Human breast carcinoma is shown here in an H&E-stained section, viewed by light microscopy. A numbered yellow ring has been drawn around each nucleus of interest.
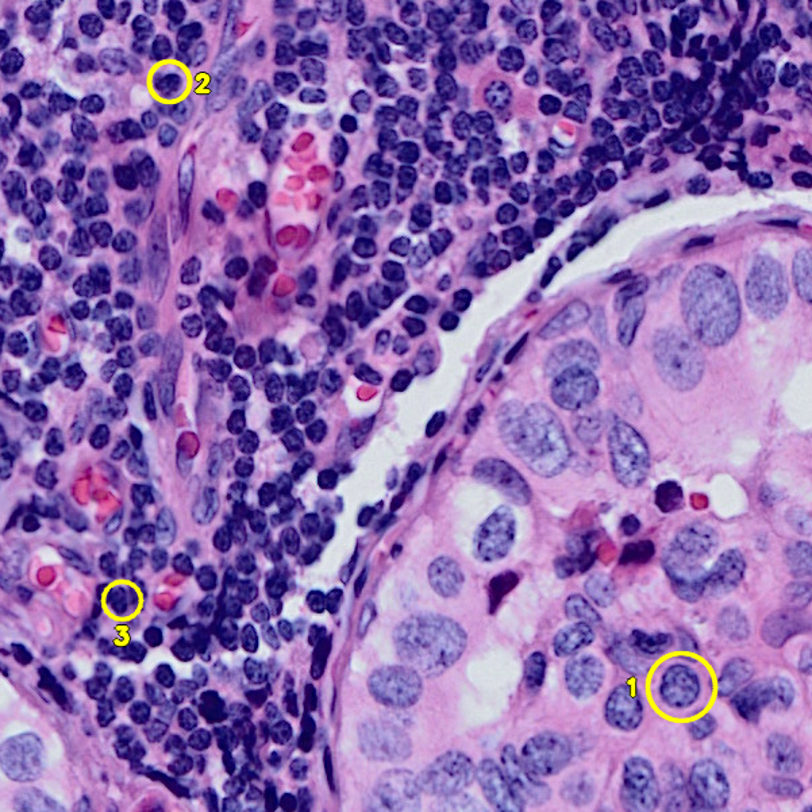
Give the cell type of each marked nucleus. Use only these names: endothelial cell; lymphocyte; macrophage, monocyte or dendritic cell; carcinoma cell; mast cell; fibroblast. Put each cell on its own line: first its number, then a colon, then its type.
1: carcinoma cell
2: lymphocyte
3: lymphocyte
